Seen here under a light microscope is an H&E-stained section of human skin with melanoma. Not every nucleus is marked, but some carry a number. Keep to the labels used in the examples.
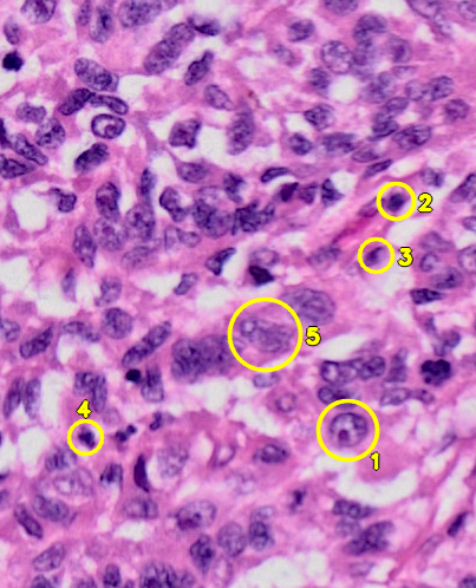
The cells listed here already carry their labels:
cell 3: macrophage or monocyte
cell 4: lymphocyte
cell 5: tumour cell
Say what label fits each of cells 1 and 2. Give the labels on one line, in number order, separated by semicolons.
tumour cell; lymphocyte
